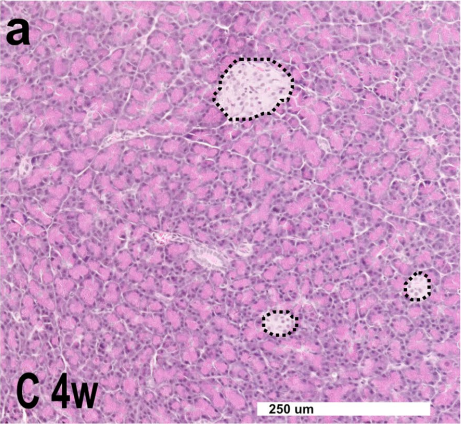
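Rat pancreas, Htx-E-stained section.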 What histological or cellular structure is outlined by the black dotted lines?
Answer: Islets of endocrine cells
